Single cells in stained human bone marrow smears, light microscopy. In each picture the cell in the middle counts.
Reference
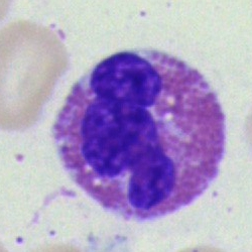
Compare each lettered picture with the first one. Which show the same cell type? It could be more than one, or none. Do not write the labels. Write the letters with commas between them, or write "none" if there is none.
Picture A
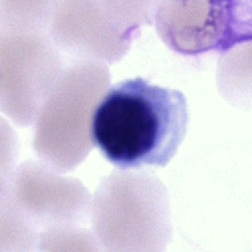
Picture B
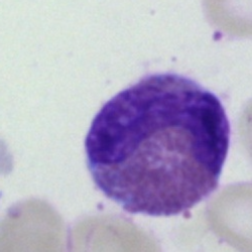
B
